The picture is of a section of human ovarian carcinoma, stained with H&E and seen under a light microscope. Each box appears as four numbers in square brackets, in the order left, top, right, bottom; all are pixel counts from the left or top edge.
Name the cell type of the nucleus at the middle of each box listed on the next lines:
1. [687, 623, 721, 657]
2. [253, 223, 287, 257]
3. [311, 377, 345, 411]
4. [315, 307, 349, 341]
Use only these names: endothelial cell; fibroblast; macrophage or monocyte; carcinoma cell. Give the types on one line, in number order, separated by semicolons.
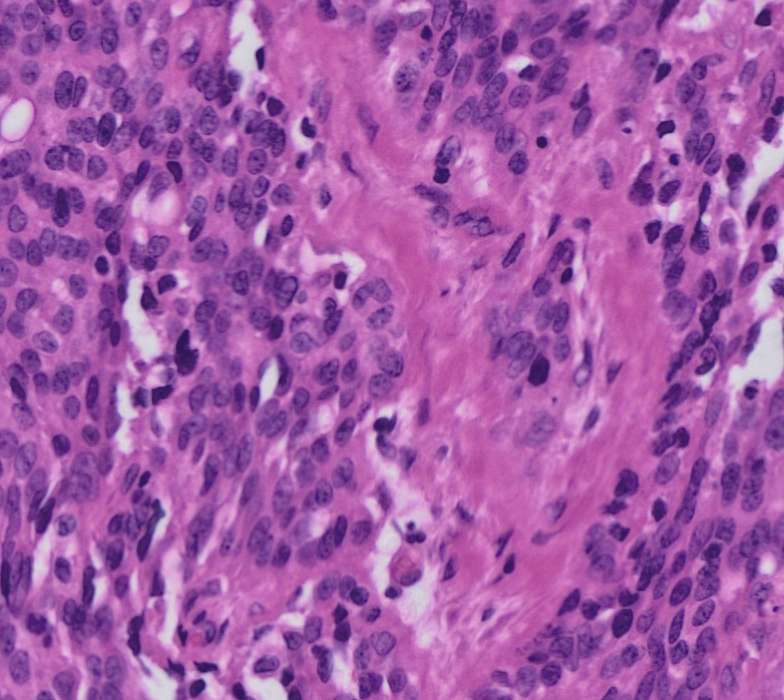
macrophage or monocyte; carcinoma cell; carcinoma cell; carcinoma cell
